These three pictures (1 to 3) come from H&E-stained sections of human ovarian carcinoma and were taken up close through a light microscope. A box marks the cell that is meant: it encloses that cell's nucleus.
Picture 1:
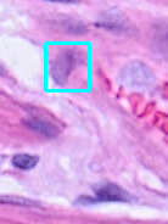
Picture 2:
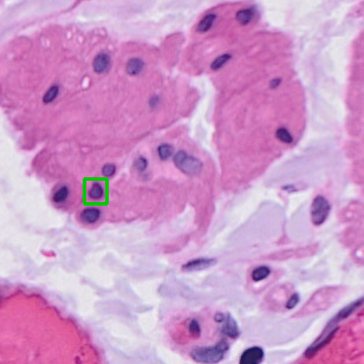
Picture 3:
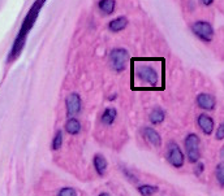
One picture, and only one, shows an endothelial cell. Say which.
1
